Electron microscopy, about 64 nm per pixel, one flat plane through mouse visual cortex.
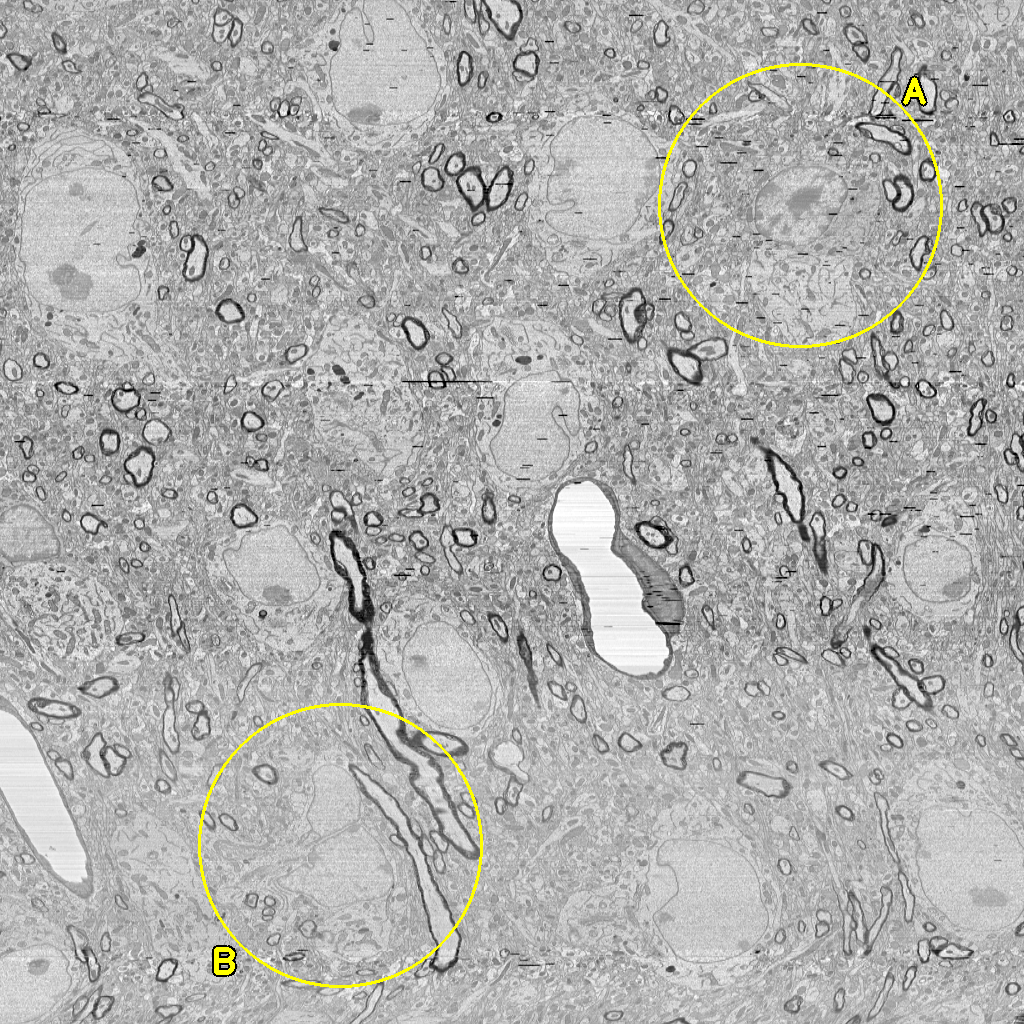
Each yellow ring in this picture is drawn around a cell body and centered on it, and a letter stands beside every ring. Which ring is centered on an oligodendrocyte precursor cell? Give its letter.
B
